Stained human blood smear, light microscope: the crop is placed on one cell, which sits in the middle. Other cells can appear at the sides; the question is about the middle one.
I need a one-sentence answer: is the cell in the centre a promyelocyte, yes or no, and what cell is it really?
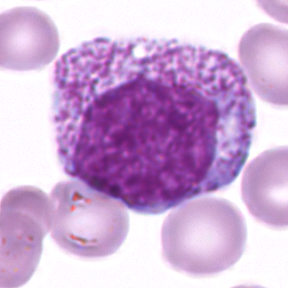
Yes, the central element of the crop is a promyelocyte.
